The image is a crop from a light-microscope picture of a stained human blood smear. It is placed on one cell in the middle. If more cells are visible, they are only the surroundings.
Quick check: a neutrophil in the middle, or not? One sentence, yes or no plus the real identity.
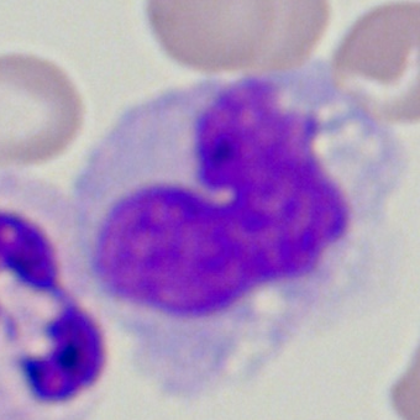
No, in this crop the middle cell is a monocyte, not a neutrophil.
